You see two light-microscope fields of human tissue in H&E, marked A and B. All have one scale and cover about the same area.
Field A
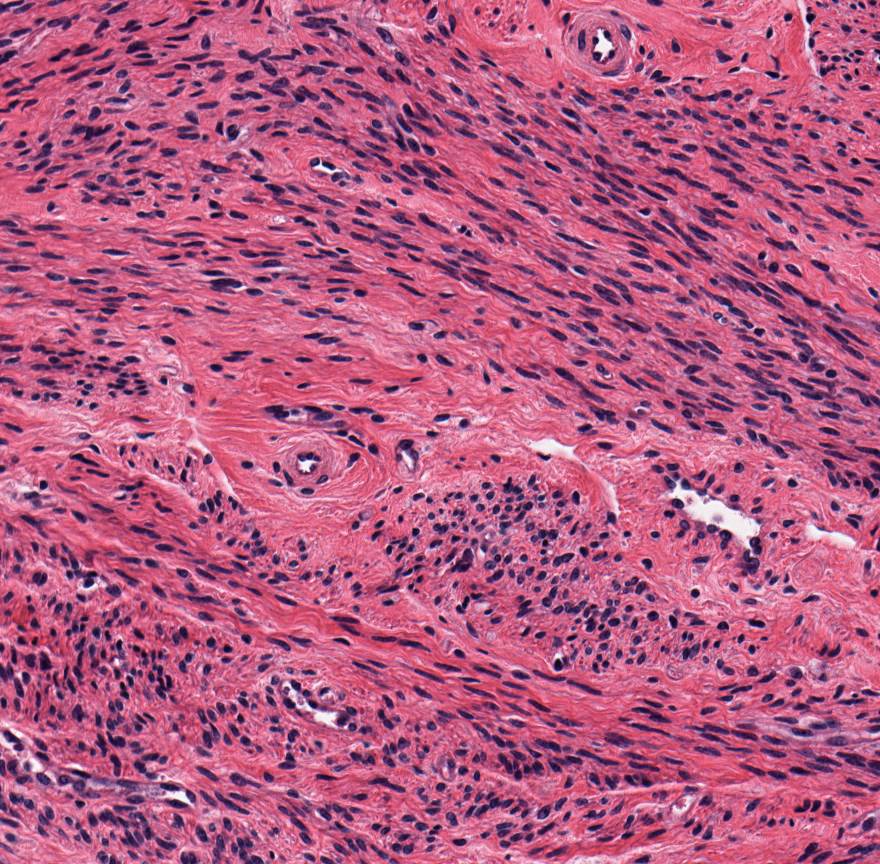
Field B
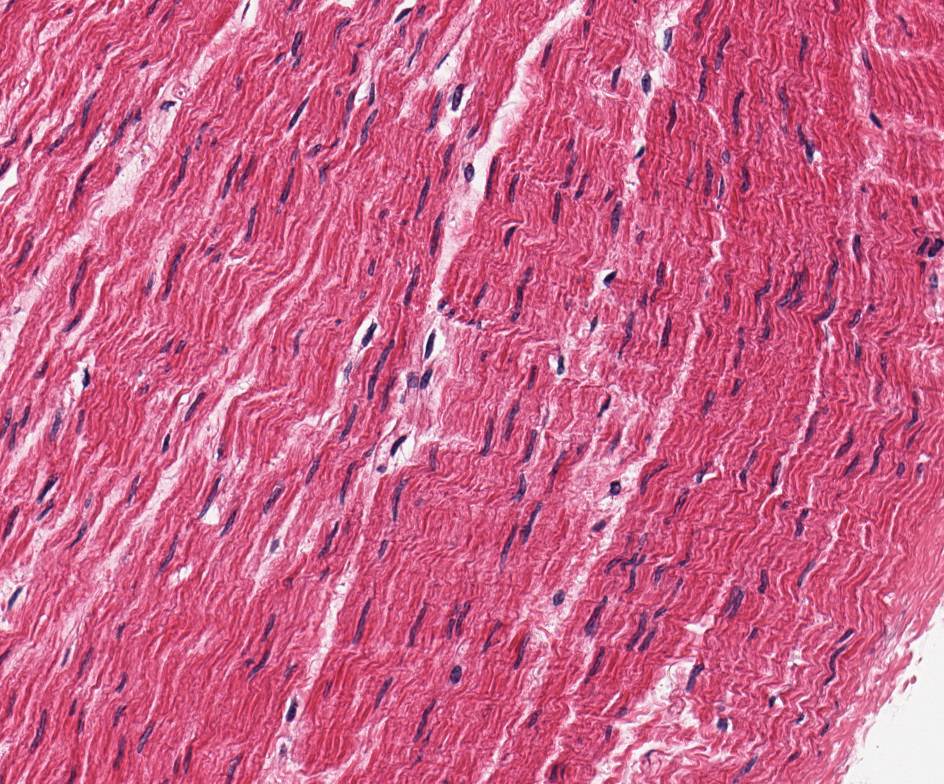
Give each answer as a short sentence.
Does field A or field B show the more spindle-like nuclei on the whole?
It is field B whose nuclei are the more elongated.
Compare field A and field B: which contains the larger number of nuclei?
More nuclei lie in field A than in field B.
